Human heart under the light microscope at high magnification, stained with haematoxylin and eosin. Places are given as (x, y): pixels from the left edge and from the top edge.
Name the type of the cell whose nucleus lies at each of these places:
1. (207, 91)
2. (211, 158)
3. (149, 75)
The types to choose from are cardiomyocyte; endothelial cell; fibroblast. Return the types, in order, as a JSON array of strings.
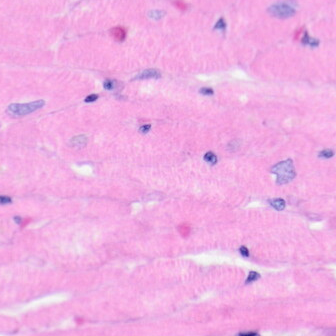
["endothelial cell", "endothelial cell", "fibroblast"]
